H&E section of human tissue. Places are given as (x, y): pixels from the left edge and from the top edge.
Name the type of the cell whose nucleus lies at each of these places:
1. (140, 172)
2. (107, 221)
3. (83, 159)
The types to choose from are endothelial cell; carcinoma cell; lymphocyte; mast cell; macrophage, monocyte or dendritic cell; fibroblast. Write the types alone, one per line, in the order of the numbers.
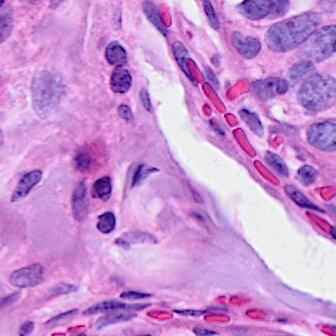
fibroblast
lymphocyte
mast cell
